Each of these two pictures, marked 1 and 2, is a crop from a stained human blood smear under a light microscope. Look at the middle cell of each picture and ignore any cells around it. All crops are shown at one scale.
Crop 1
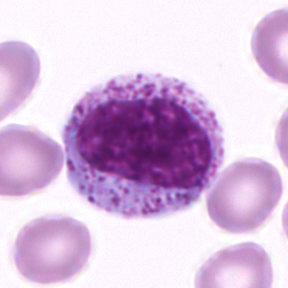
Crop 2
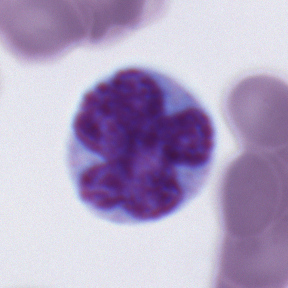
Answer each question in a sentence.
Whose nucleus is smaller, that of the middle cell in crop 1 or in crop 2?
Crop 1 shows the smaller nucleus, since that in crop 2 covers about 1.5 times as much area.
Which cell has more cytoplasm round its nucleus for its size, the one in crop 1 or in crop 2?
The nucleus fills less of the cell in crop 1 than in crop 2.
